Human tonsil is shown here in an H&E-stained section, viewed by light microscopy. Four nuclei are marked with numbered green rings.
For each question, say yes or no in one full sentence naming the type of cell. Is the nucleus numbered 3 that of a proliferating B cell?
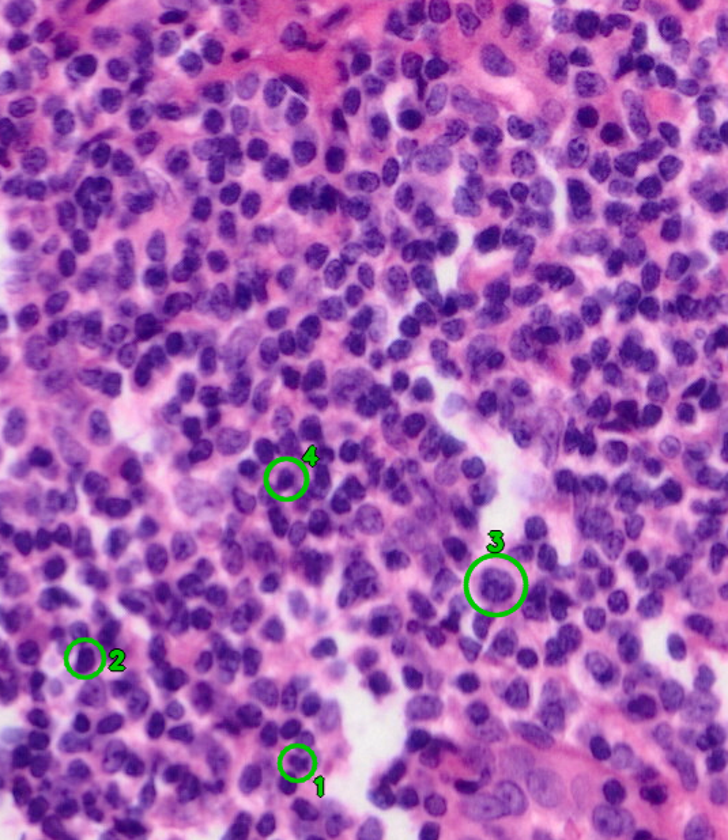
Yes, in this section the cell with number 3 is a proliferating B cell.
